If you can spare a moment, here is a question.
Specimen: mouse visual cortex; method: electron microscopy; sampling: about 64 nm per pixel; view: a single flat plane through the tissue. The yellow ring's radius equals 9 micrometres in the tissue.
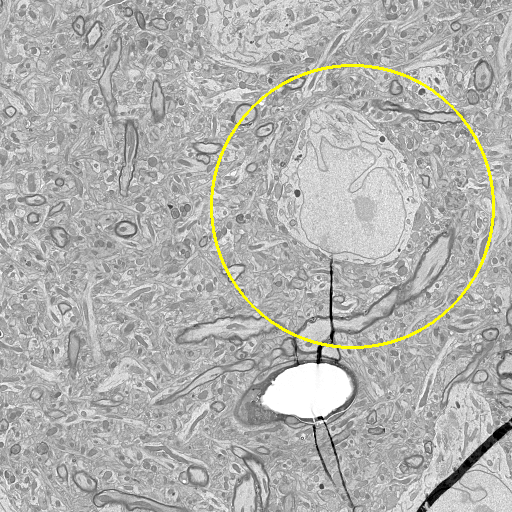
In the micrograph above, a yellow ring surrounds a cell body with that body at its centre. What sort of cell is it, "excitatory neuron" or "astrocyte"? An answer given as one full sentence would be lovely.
Centred inside the yellow ring, the cell body shown belongs to an excitatory neuron in this micrograph.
